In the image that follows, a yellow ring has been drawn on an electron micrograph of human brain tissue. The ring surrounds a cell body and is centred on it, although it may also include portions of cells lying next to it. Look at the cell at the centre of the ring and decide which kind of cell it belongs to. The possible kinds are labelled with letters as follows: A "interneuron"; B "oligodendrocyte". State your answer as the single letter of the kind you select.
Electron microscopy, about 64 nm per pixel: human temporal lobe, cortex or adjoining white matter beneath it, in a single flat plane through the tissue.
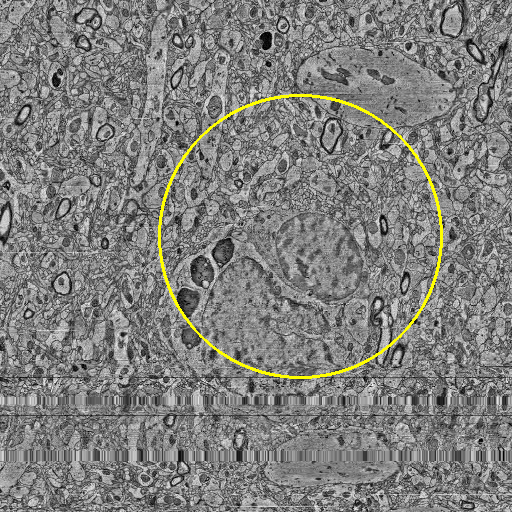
B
